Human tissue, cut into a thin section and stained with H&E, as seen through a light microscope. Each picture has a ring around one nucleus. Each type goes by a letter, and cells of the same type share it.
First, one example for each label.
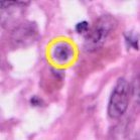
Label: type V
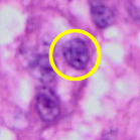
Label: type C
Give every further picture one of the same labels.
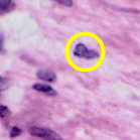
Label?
type V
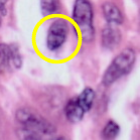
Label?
type C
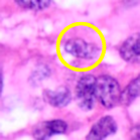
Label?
type C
